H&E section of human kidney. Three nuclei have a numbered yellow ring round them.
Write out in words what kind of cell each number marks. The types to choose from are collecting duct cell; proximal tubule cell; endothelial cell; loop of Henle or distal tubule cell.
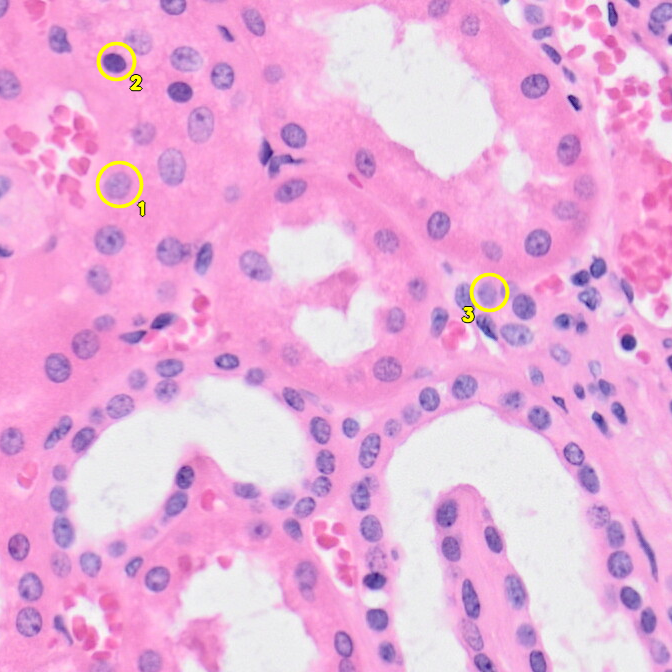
Cell 1 is a proximal tubule cell, cell 2 is a proximal tubule cell and cell 3 is a collecting duct cell.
